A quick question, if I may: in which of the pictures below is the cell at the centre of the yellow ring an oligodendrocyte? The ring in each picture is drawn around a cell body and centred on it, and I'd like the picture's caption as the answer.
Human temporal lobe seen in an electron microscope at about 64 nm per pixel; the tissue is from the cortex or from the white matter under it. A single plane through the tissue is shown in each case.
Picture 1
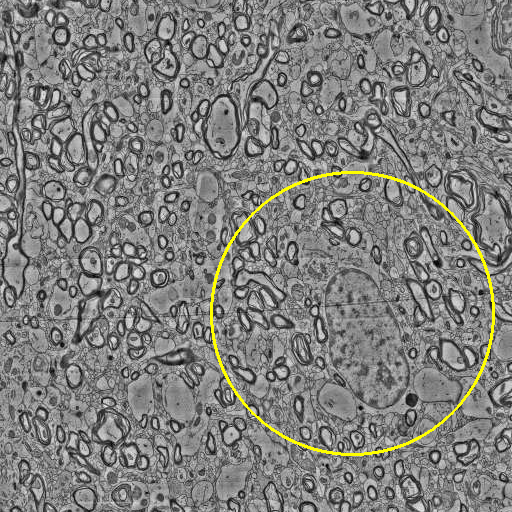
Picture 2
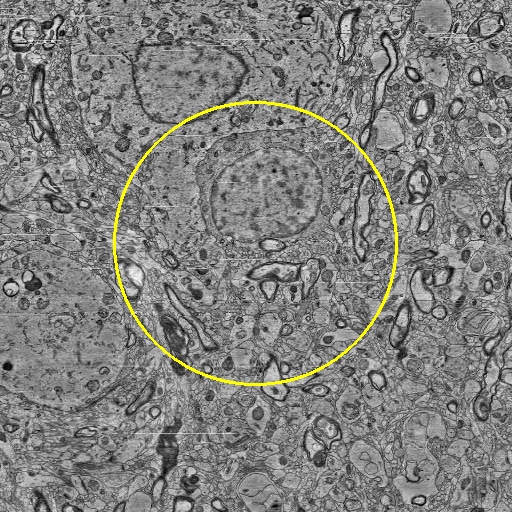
Picture 2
